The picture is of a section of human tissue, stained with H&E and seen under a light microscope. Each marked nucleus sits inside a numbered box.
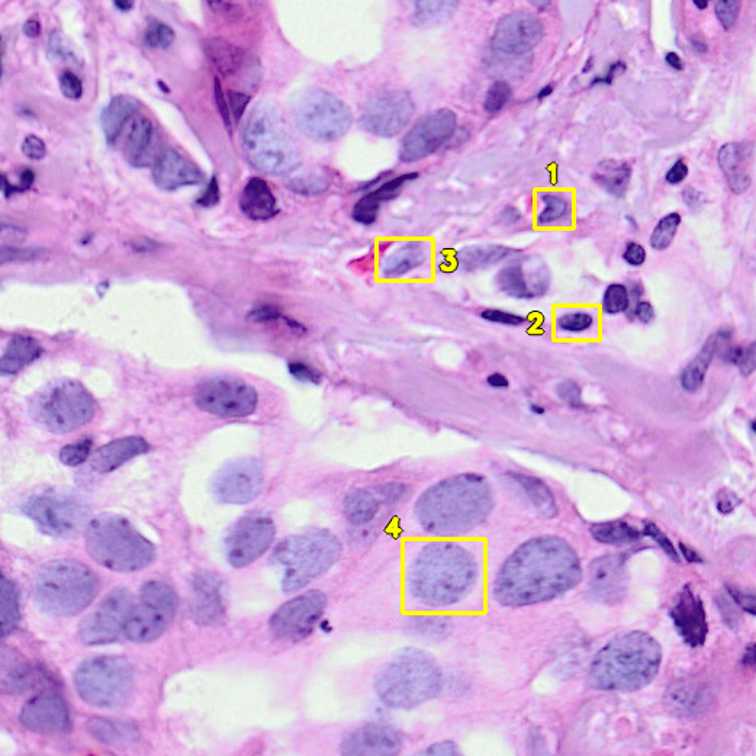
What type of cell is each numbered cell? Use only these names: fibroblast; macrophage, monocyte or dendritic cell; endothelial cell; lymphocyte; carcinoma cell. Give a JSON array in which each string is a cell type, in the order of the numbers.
["endothelial cell", "lymphocyte", "endothelial cell", "carcinoma cell"]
